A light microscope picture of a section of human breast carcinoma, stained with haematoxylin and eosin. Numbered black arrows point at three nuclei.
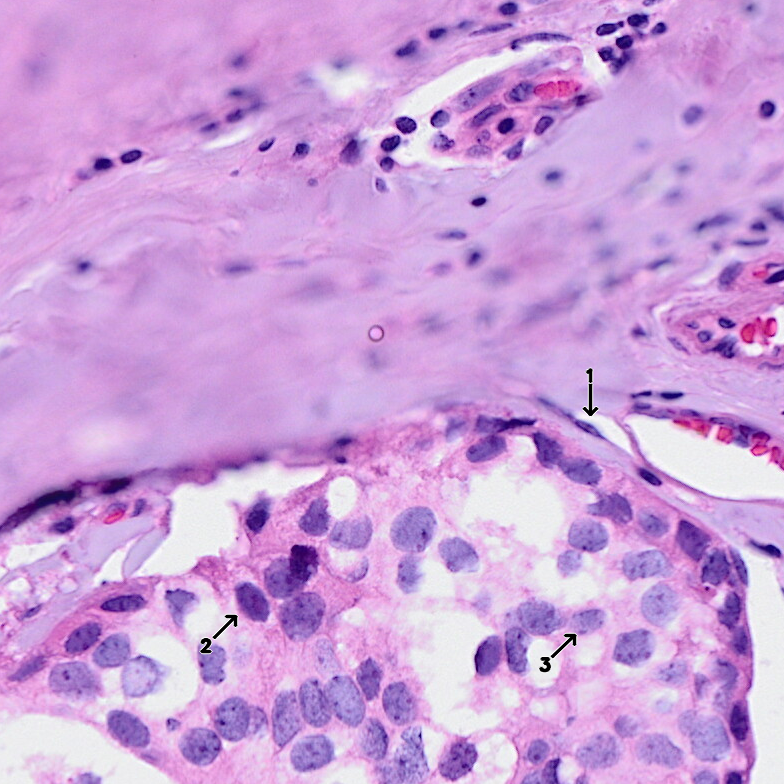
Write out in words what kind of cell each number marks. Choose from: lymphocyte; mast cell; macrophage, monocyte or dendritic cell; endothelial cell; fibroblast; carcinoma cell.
Cell 1 is a fibroblast, cell 2 is a carcinoma cell and cell 3 is a carcinoma cell.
